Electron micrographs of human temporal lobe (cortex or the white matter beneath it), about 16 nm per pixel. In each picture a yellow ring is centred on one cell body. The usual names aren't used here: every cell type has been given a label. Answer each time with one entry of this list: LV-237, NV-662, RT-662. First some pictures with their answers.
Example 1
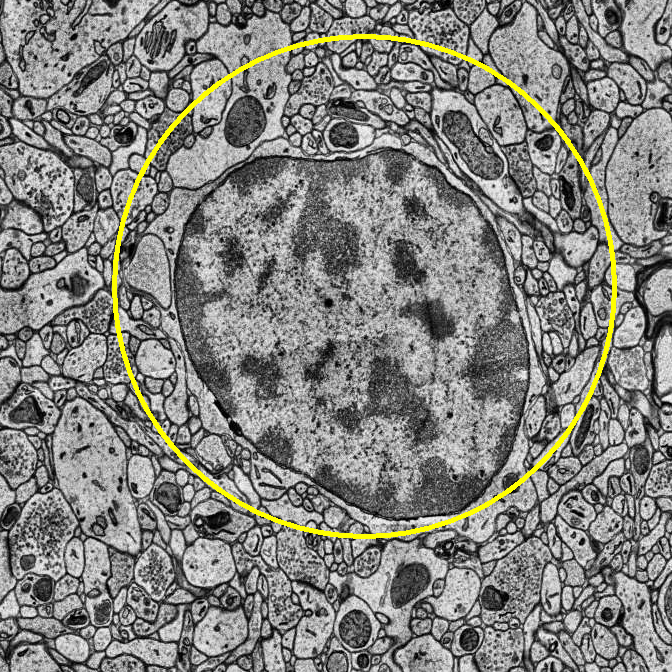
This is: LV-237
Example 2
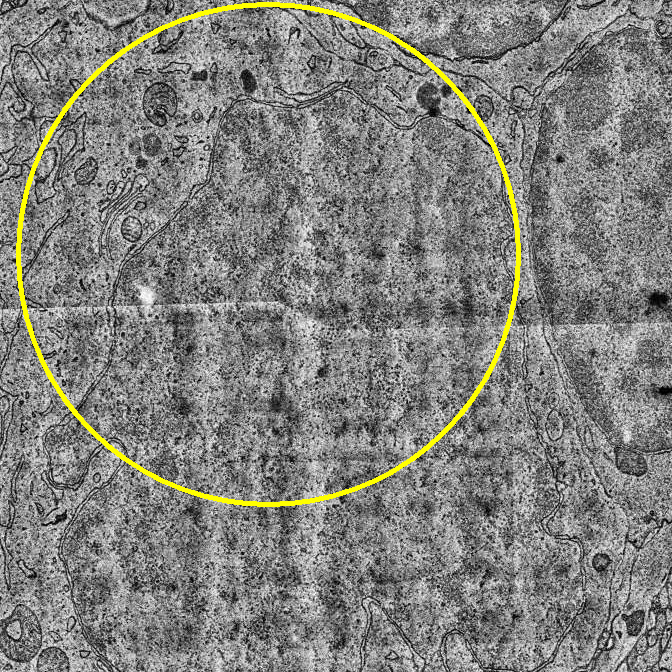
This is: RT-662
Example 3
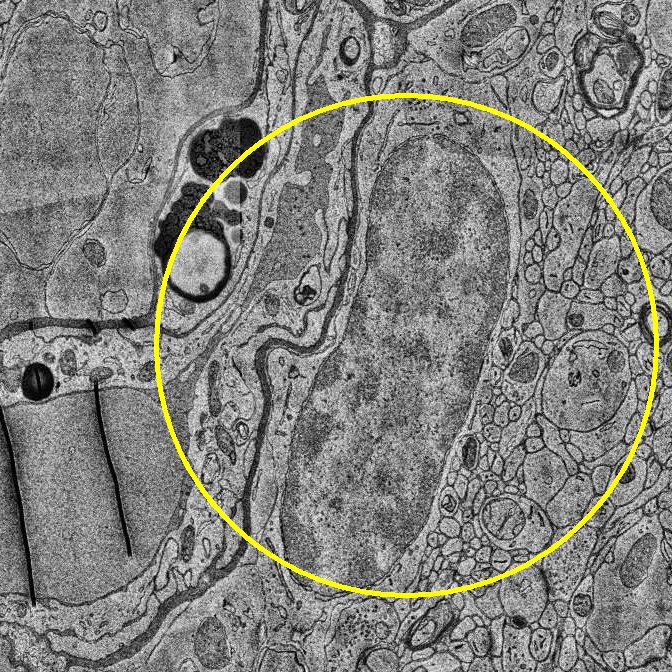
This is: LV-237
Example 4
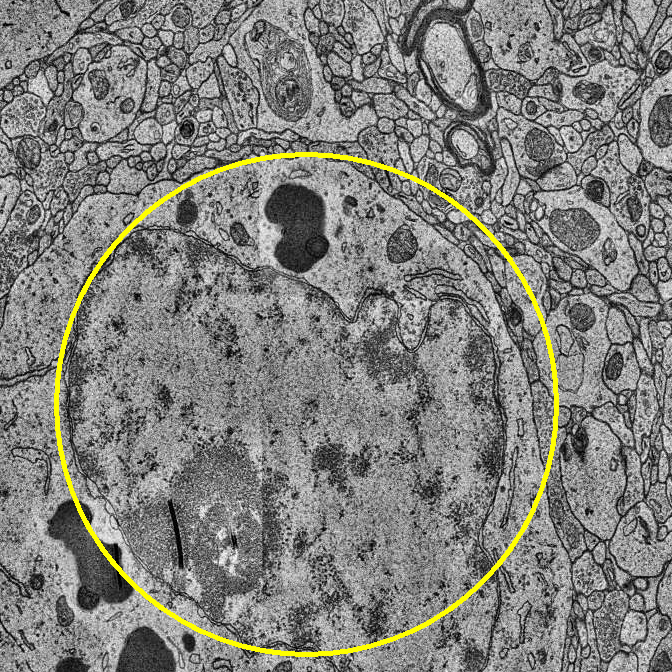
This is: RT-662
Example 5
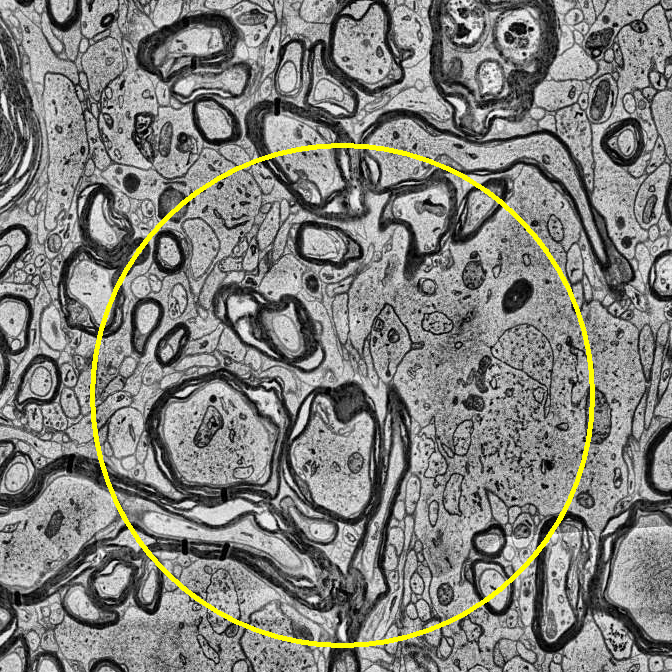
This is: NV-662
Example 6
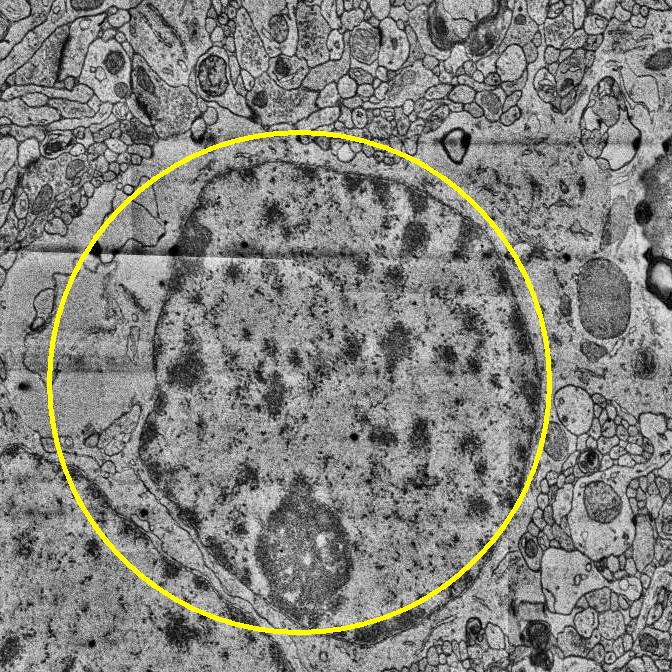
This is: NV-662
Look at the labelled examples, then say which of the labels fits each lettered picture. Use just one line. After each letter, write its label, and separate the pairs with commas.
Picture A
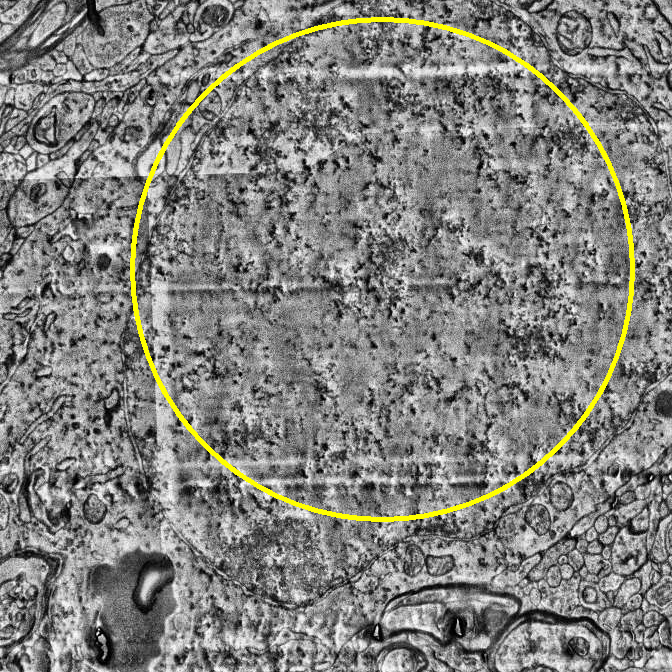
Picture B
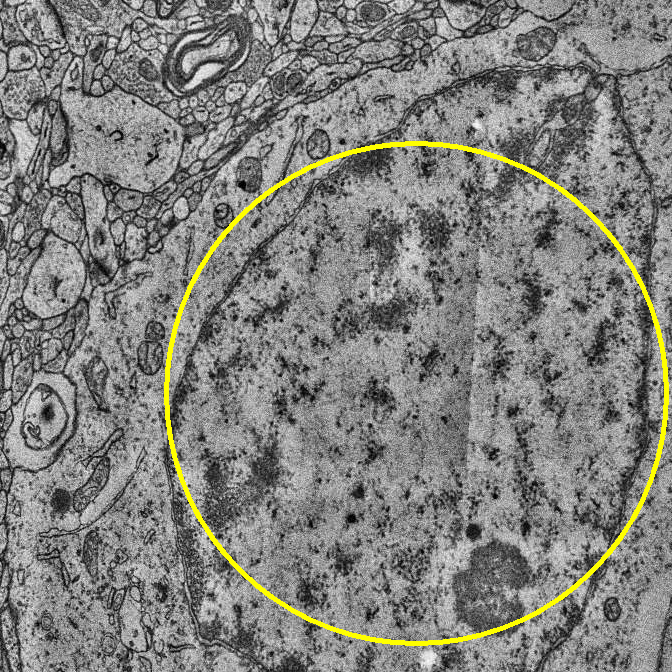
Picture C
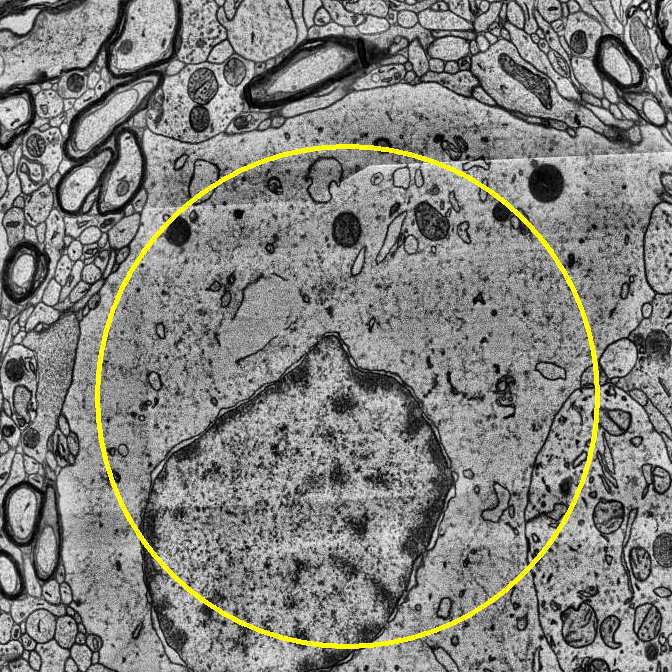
A RT-662, B RT-662, C NV-662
